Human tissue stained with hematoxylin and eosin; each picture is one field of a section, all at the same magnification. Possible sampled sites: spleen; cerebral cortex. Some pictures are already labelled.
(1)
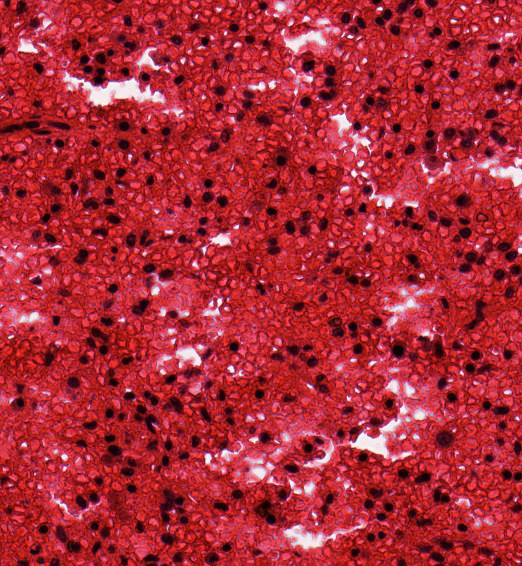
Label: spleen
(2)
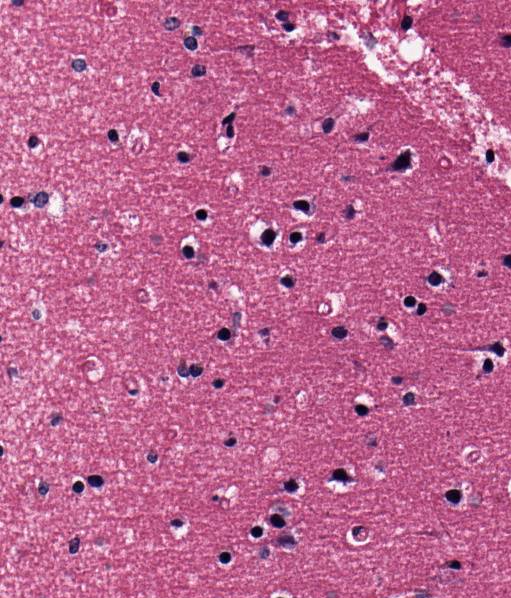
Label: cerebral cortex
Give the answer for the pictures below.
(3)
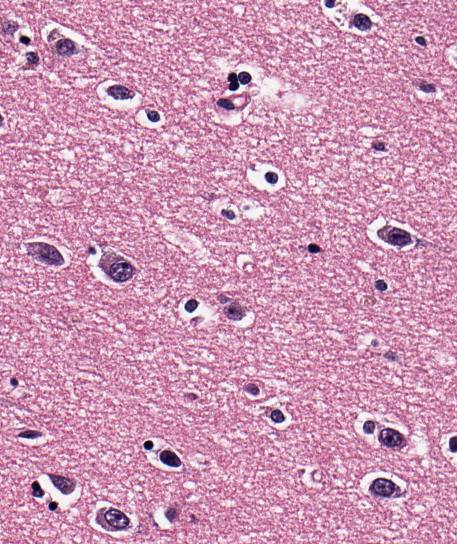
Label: cerebral cortex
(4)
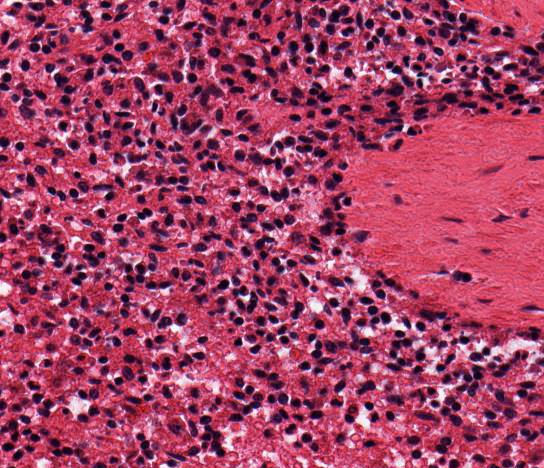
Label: spleen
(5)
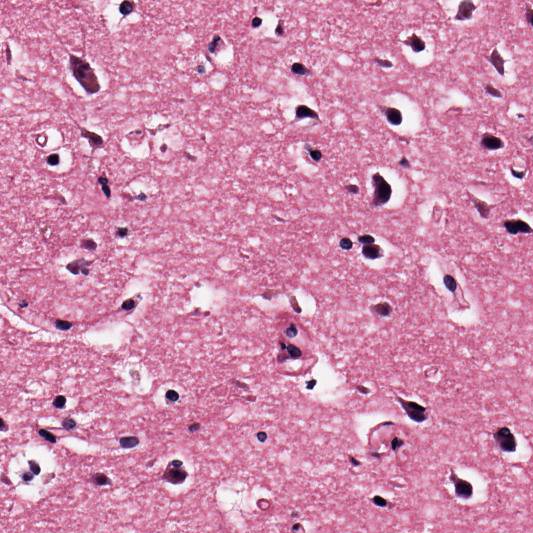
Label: cerebral cortex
